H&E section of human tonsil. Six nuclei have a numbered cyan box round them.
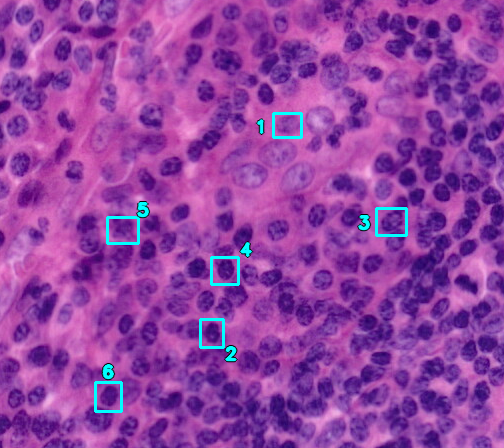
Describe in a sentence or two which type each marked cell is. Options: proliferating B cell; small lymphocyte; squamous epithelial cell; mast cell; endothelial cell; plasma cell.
Cell 1 is an endothelial cell. Cells 2, 3, 4 and 6 are plasma cells. Cell 5 is a squamous epithelial cell.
